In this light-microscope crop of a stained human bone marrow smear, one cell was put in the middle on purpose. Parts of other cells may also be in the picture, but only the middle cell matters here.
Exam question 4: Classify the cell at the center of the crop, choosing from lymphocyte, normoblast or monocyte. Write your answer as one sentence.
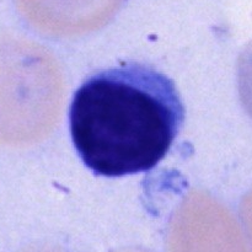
The cell at the middle of the frame should be recorded as a lymphocyte.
